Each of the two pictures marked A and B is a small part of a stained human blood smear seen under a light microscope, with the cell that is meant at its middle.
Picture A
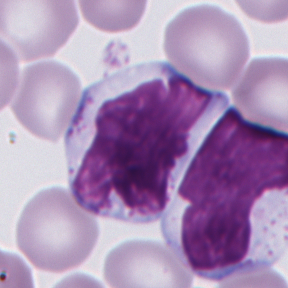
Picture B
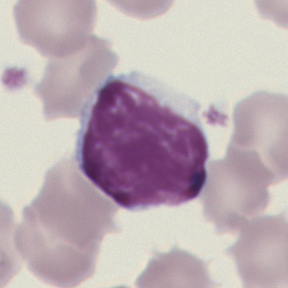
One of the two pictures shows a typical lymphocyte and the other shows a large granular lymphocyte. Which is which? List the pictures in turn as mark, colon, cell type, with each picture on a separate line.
A: large granular lymphocyte
B: typical lymphocyte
